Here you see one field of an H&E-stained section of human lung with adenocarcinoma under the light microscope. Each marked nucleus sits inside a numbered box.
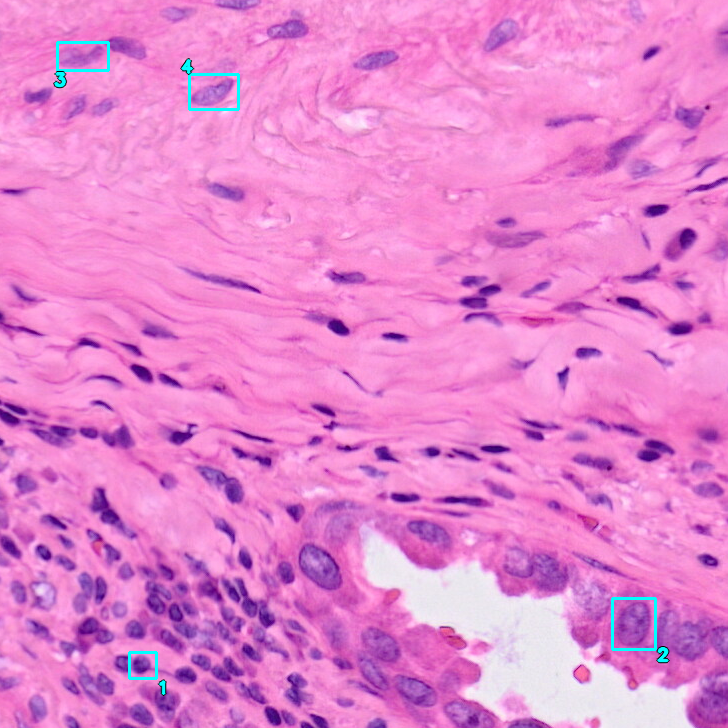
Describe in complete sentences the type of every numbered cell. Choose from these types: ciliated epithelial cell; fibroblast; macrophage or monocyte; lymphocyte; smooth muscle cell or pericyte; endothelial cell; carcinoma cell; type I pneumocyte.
Cell 1 is a lymphocyte. Cell 2 is a carcinoma cell. Cells 3 and 4 are smooth muscle cells or pericytes.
